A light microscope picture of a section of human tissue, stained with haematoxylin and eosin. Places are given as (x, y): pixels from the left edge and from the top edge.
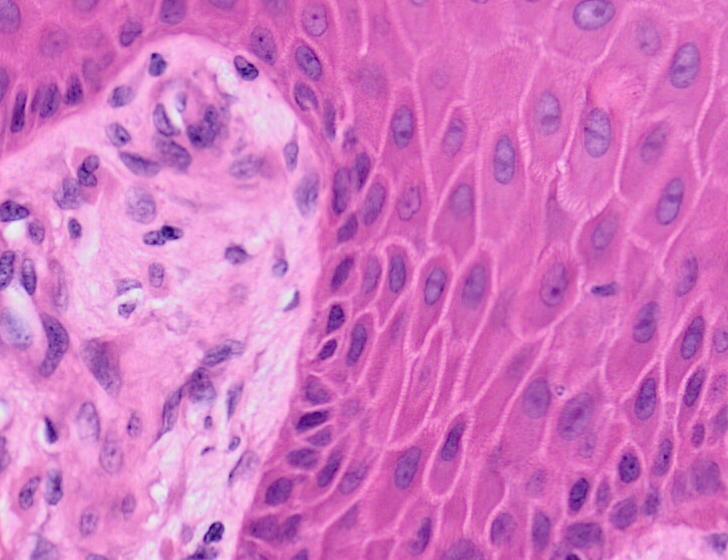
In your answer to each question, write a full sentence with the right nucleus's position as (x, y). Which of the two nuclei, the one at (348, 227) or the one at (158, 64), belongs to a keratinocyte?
In this pair, the nucleus at (348, 227) belongs to a keratinocyte.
